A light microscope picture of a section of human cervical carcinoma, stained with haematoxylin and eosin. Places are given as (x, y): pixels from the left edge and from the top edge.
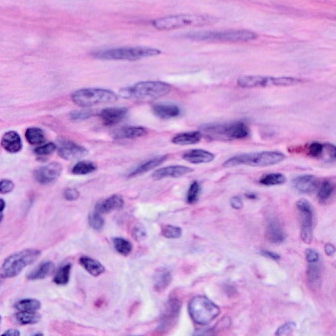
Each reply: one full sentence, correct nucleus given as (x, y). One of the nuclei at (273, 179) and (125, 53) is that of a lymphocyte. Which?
The cell to which the nucleus at (273, 179) belongs is a lymphocyte.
